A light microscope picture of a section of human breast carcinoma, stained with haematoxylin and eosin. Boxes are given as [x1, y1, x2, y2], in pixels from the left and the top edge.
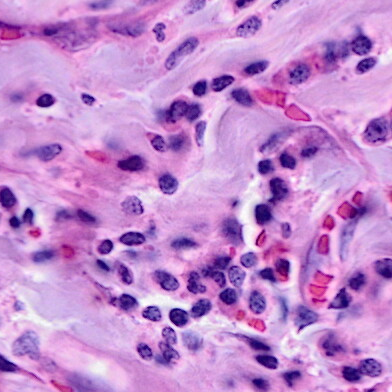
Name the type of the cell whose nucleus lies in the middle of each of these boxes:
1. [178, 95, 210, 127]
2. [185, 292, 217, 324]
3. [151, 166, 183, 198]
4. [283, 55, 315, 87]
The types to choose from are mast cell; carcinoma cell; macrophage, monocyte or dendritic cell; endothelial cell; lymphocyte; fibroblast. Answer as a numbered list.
1. lymphocyte
2. lymphocyte
3. lymphocyte
4. mast cell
